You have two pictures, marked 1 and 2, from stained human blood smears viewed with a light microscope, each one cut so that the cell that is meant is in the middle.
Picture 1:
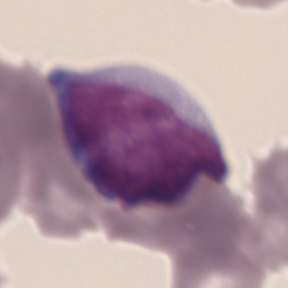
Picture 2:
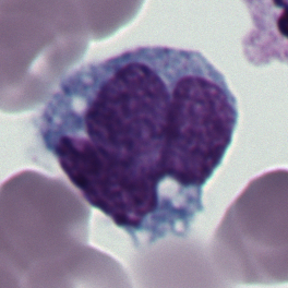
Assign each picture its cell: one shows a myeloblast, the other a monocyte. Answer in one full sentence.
Picture 1 is of a myeloblast, and picture 2 is of a monocyte.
